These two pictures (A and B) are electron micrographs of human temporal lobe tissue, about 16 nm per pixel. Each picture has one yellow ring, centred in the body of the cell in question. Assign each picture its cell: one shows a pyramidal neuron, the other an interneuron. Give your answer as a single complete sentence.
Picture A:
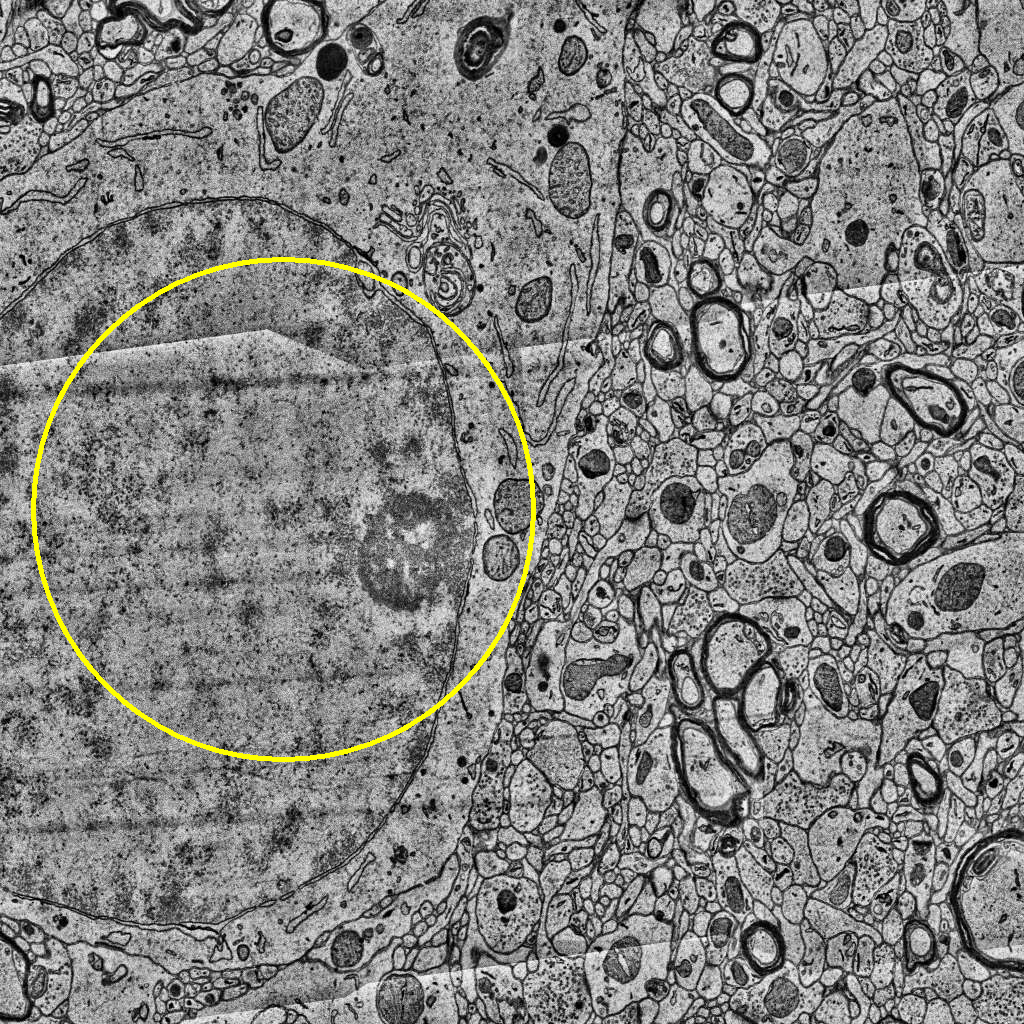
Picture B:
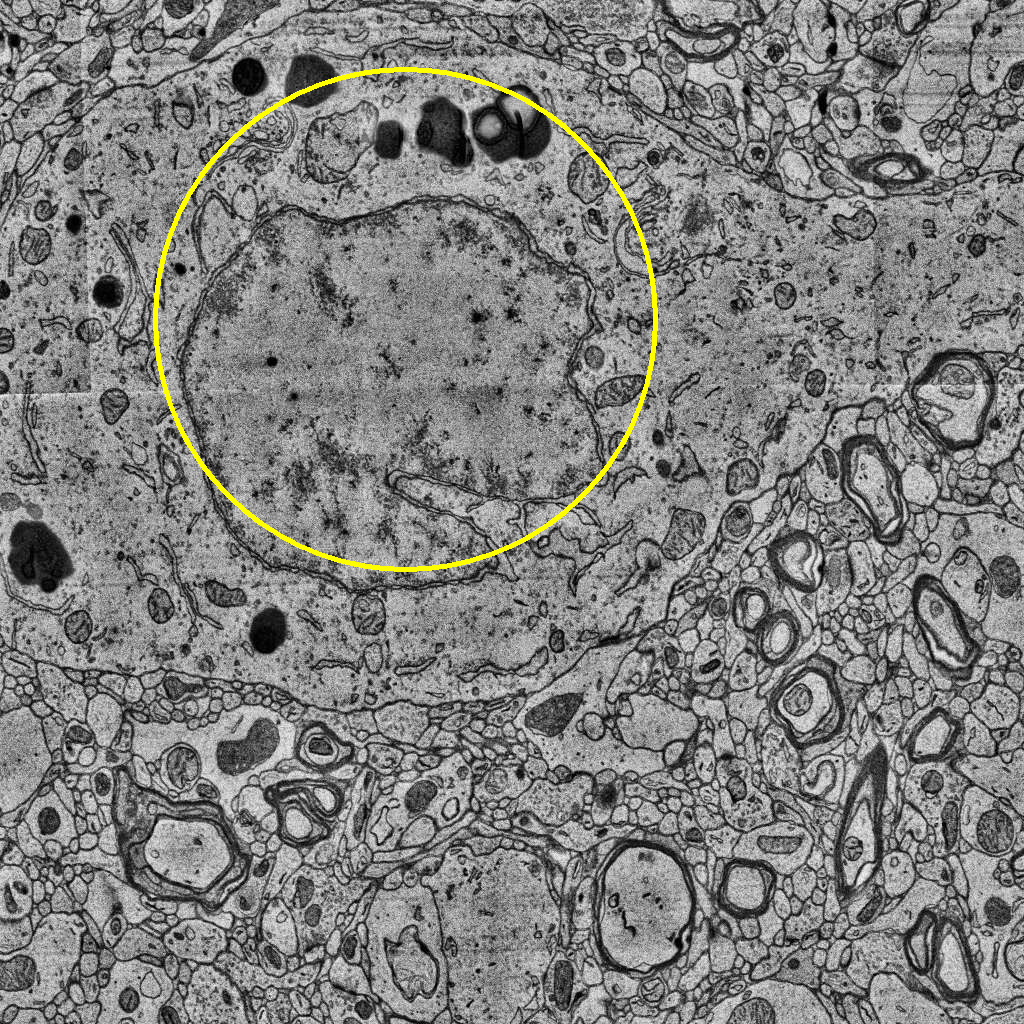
Picture B shows a pyramidal neuron, while picture A shows an interneuron.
